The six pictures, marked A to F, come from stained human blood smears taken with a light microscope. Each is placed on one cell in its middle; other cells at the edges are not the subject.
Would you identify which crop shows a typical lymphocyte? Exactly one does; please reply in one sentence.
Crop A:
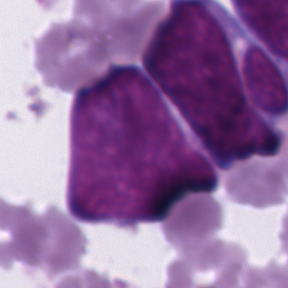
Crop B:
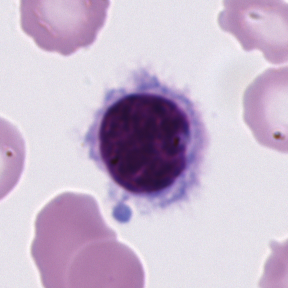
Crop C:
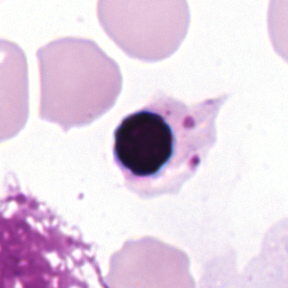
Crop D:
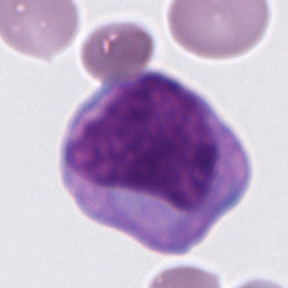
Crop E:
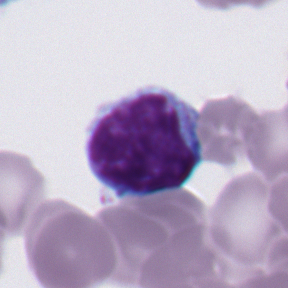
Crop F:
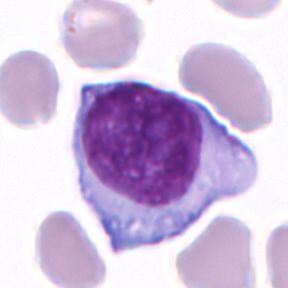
Crop E is the crop containing a typical lymphocyte.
